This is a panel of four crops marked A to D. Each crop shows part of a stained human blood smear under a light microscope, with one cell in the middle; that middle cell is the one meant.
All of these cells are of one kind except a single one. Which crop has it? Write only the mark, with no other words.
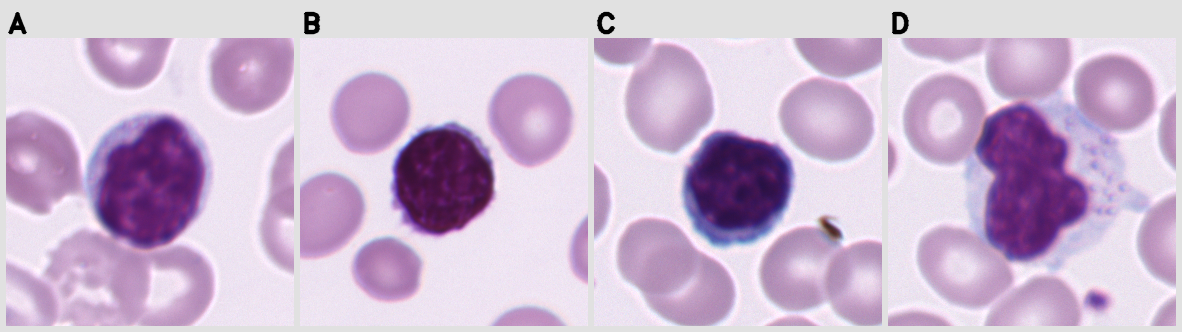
D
